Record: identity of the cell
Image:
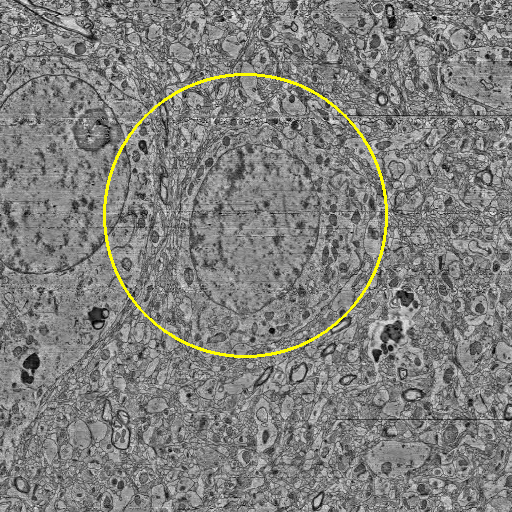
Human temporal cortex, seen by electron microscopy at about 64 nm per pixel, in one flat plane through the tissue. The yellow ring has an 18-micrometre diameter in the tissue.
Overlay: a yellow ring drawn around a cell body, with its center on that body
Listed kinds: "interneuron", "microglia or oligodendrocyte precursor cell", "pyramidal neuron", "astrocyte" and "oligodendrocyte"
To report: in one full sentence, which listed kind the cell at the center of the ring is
In the image, the cell body at the ring's center belongs to an interneuron.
